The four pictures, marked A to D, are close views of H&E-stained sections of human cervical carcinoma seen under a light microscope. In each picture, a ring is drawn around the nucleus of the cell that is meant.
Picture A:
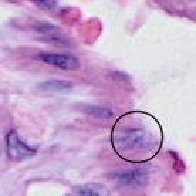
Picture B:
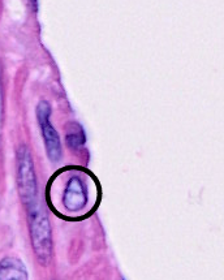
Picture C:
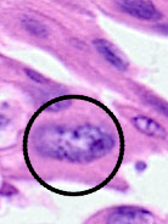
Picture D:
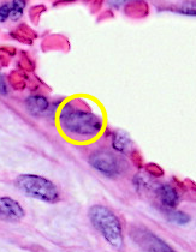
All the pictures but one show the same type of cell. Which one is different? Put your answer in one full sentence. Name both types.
The different one is picture C; it shows a squamous carcinoma cell, whereas all the others show endothelial cells.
